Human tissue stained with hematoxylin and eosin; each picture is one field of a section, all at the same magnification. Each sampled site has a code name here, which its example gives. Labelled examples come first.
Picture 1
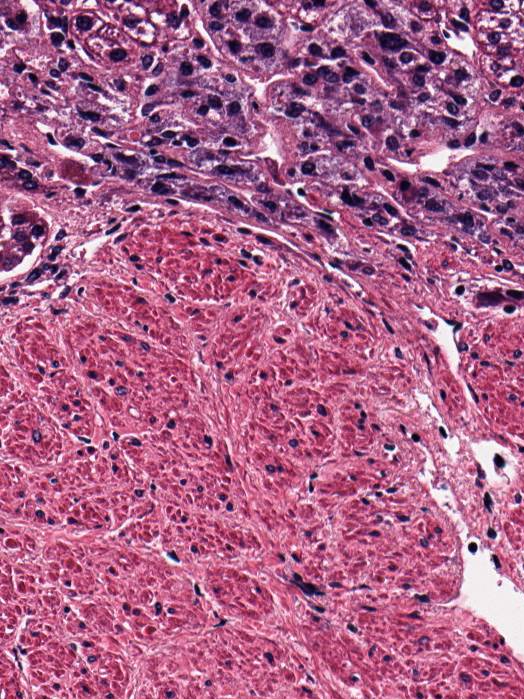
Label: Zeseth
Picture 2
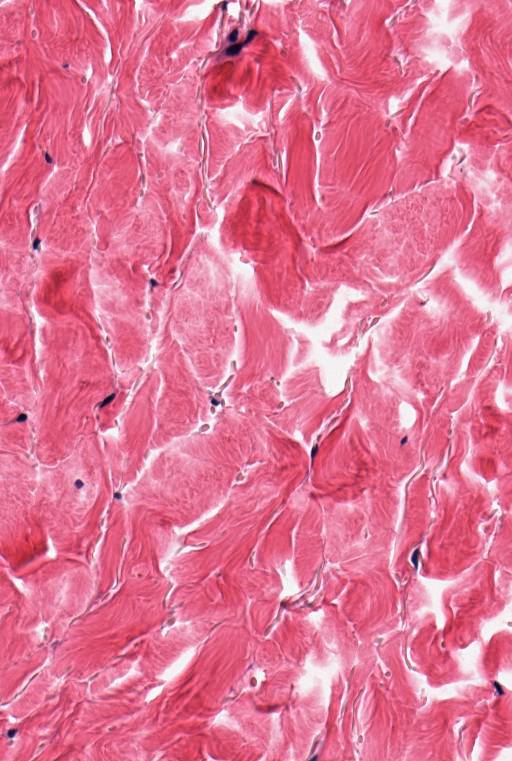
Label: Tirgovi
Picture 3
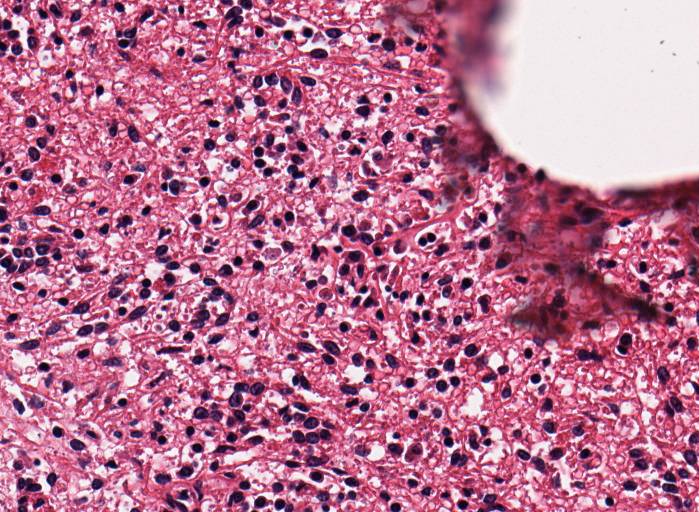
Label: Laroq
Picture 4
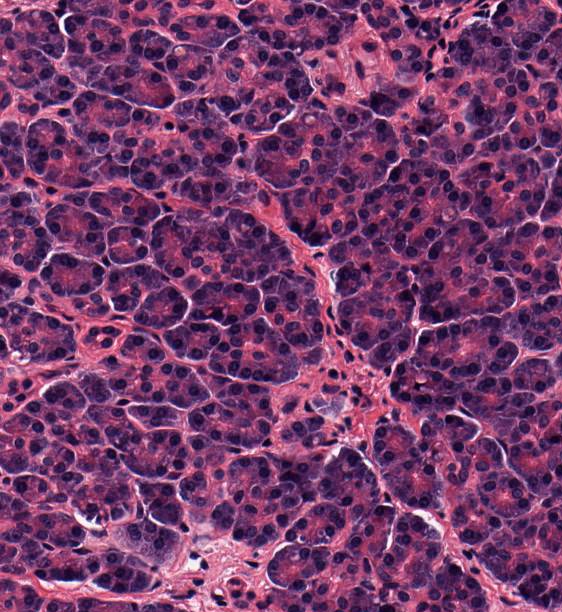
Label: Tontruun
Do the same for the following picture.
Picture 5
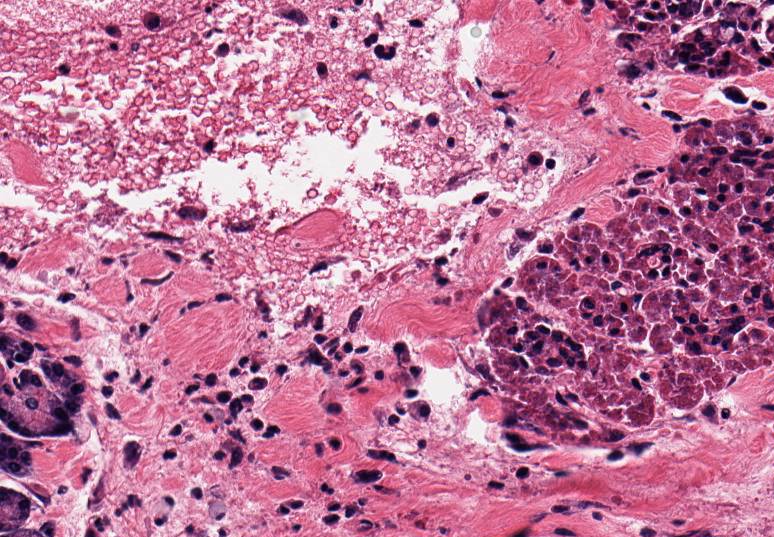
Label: Tontruun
